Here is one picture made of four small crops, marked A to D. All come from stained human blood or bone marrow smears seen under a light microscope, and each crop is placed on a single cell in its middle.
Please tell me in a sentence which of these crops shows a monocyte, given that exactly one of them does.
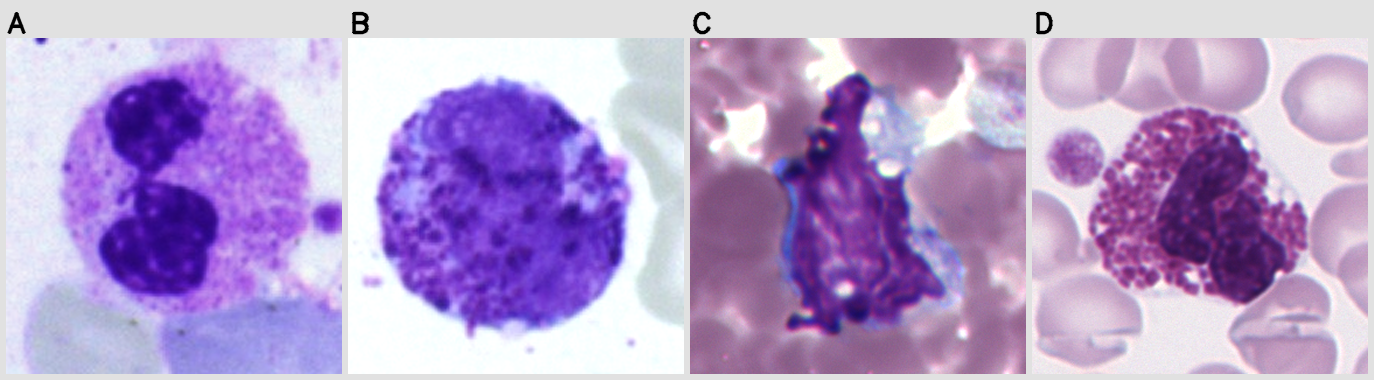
Crop C is the crop featuring a monocyte at its center.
